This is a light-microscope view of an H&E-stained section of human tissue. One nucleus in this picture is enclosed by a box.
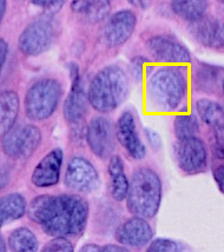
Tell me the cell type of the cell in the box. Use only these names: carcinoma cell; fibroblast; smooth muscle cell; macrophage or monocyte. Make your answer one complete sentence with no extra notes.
In cellular terms, the cell in the box is a carcinoma cell.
